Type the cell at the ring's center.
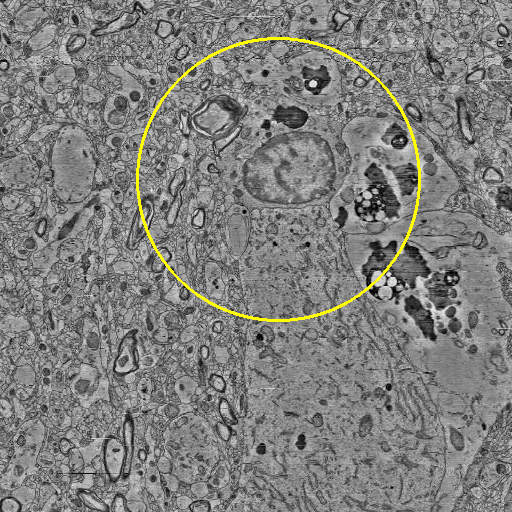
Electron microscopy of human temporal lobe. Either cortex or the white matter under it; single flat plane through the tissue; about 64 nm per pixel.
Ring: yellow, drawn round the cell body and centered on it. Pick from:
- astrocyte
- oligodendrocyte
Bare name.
oligodendrocyte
